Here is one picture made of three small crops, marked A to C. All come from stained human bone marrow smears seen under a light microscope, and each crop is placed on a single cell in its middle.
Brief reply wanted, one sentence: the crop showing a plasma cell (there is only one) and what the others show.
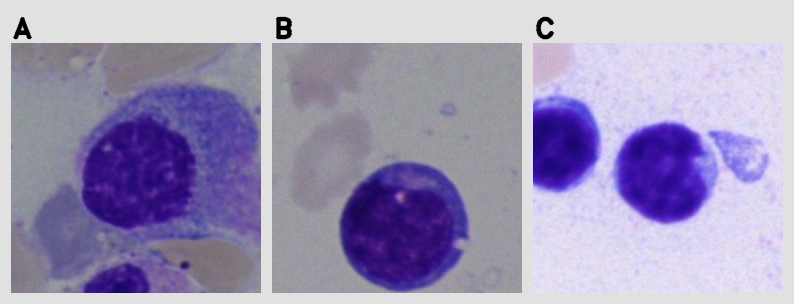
Crop A is a plasma cell; as for the rest, crop B is a blast and crop C is a lymphocyte.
